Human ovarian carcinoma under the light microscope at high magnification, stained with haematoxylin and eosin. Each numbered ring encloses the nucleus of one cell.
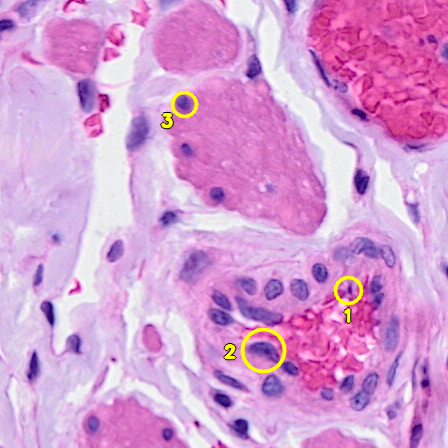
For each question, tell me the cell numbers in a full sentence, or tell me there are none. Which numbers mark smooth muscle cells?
Cell 3 stands alone among the numbered cells as a smooth muscle cell.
